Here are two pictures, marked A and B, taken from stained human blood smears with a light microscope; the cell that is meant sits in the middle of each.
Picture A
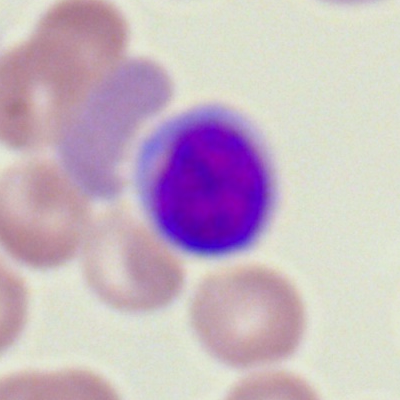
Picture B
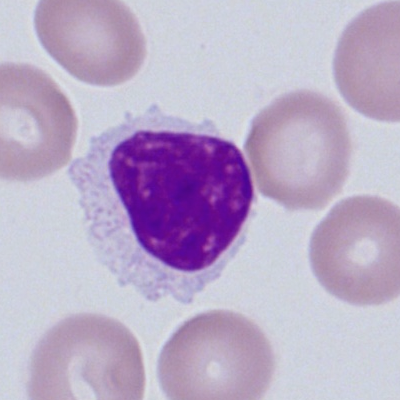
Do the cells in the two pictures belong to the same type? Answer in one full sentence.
Yes, the two pictures both show lymphocytes.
